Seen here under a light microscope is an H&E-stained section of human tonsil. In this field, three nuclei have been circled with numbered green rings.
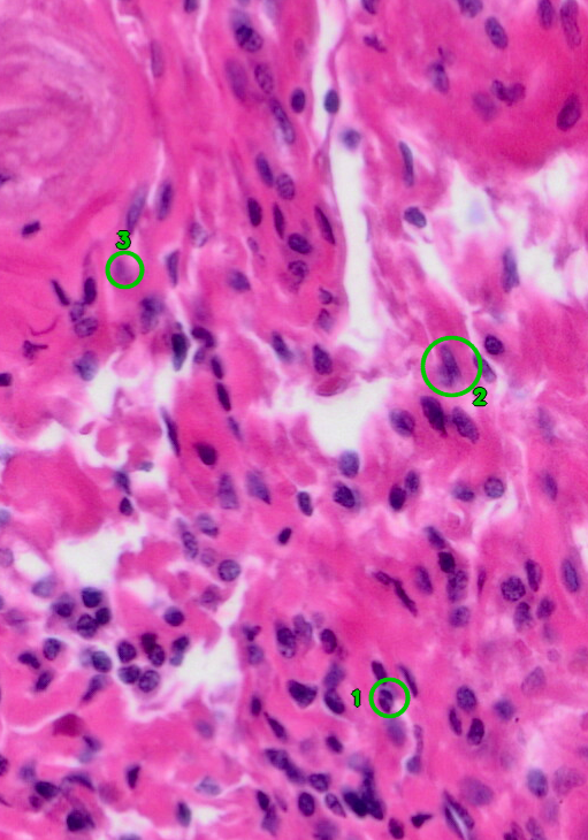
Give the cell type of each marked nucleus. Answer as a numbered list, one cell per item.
1. mast cell
2. endothelial cell
3. endothelial cell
